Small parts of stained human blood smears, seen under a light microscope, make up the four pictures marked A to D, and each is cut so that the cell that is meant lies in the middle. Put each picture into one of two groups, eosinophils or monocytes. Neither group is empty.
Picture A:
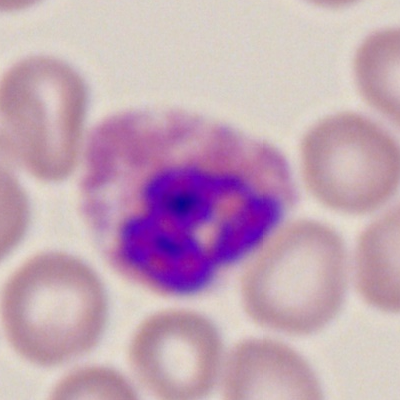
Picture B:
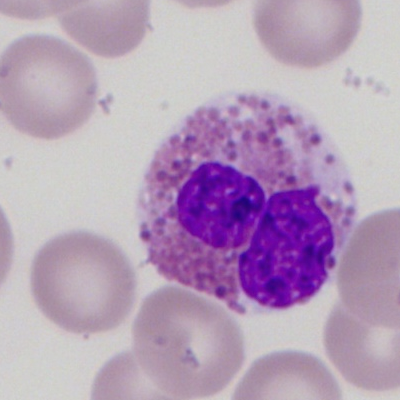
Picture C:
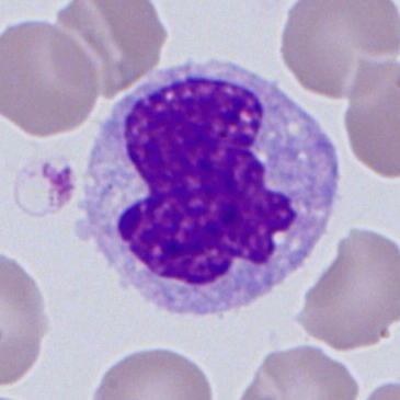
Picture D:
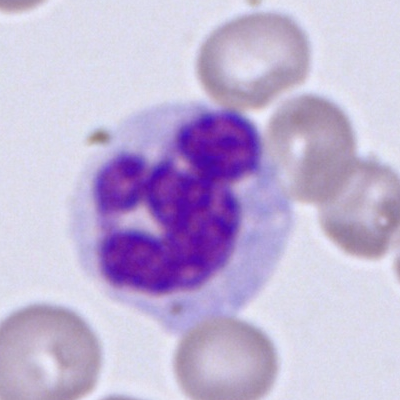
A: eosinophil
B: eosinophil
C: monocyte
D: monocyte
